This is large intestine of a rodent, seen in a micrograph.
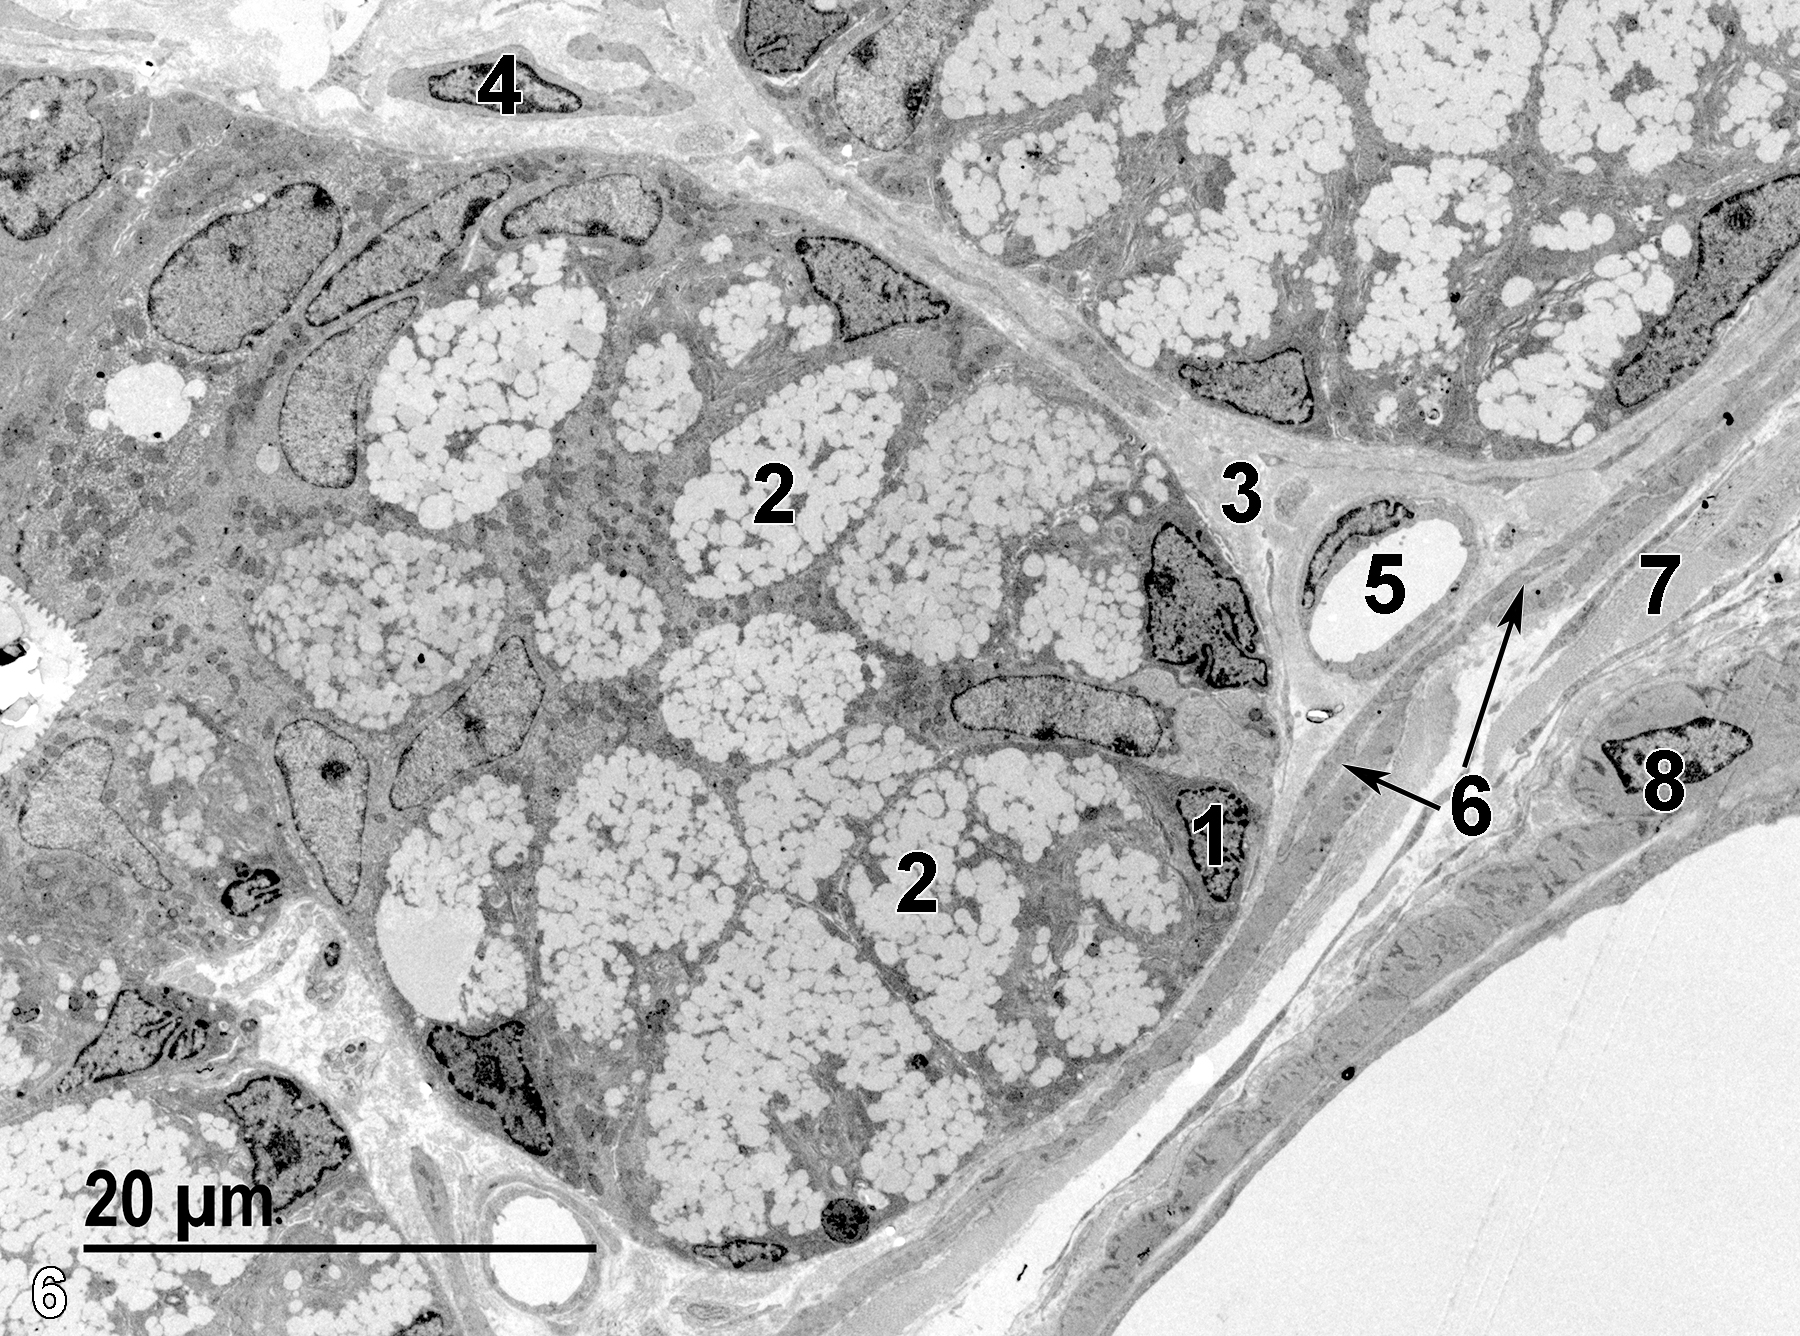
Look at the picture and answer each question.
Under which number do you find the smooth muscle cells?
6.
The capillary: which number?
It's 5.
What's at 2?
Mucous droplets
